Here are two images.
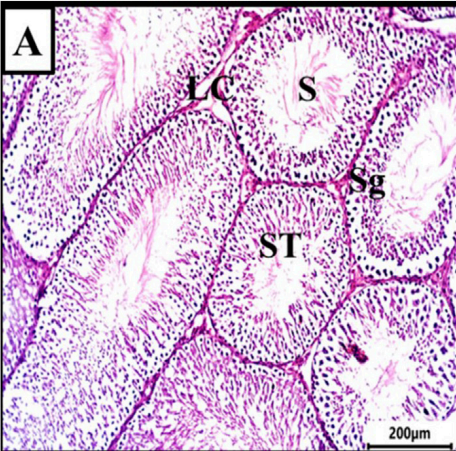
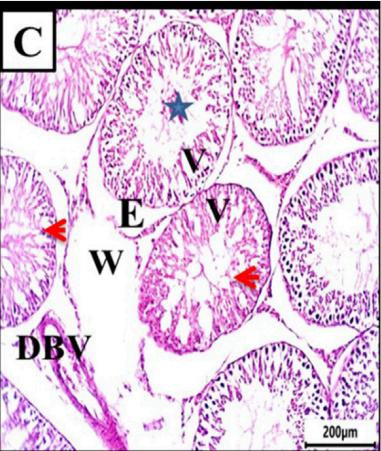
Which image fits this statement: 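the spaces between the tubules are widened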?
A: The second image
